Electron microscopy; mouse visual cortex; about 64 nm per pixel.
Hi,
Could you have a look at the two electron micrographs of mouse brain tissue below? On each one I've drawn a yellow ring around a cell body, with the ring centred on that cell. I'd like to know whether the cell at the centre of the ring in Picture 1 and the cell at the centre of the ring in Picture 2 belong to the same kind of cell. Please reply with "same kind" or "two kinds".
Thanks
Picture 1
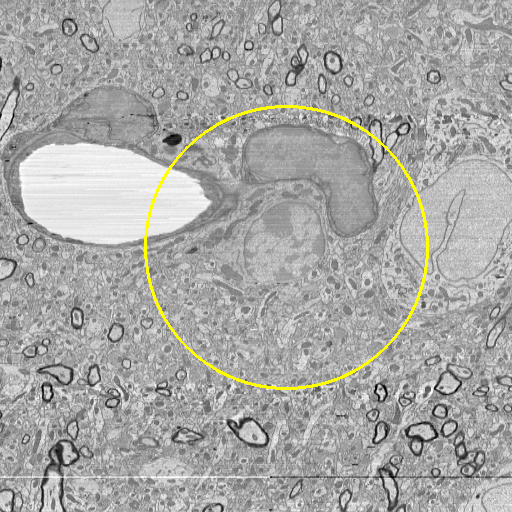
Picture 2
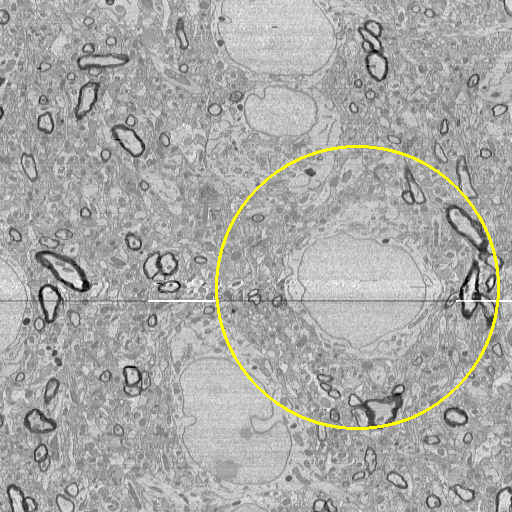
two kinds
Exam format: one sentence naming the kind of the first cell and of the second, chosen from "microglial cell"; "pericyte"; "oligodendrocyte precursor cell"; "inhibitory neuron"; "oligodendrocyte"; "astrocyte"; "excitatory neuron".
The first picture's cell is an oligodendrocyte, and the second picture's cell is an excitatory neuron.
